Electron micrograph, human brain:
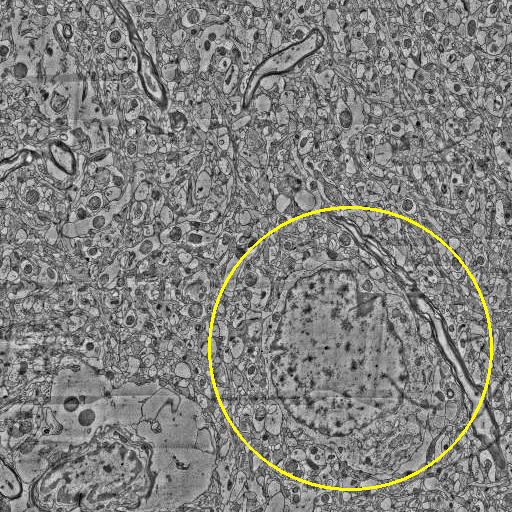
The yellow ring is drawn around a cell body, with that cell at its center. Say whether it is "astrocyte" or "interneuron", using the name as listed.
interneuron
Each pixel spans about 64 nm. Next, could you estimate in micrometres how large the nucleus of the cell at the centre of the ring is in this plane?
Roughly 11 by 9 micrometres is the size of the nucleus in this plane.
